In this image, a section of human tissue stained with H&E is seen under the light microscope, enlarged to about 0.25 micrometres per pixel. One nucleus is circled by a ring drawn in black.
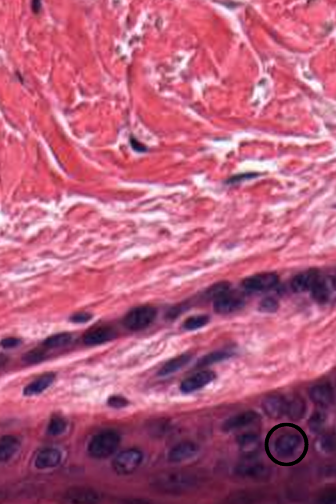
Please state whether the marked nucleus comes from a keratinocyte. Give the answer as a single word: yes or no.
yes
